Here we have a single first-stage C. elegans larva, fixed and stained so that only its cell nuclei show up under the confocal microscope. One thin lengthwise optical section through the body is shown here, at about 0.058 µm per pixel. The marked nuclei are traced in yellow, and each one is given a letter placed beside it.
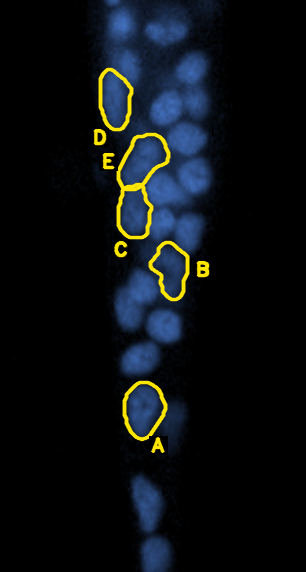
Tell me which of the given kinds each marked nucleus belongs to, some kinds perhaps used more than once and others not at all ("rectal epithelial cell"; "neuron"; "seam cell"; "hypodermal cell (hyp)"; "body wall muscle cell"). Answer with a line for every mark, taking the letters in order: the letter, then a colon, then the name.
A: hypodermal cell (hyp)
B: seam cell
C: body wall muscle cell
D: rectal epithelial cell
E: rectal epithelial cell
